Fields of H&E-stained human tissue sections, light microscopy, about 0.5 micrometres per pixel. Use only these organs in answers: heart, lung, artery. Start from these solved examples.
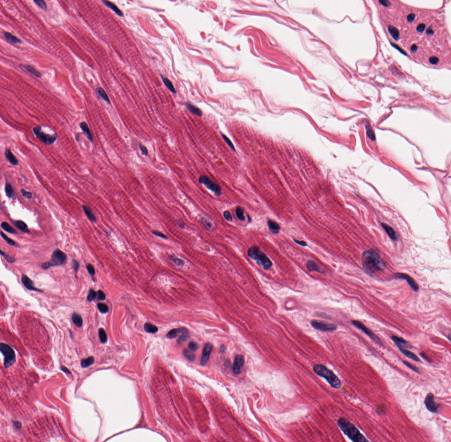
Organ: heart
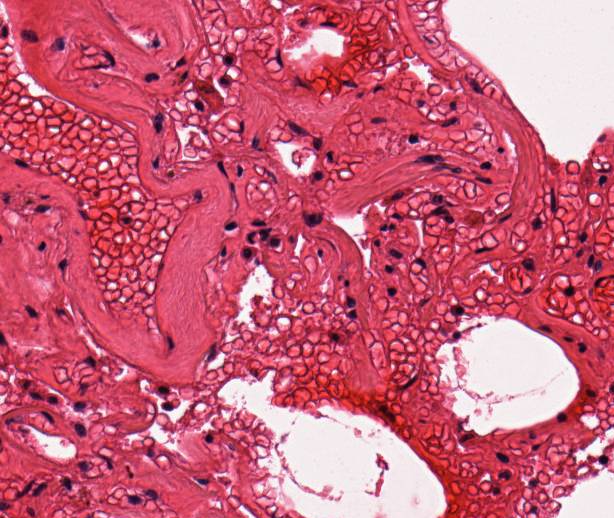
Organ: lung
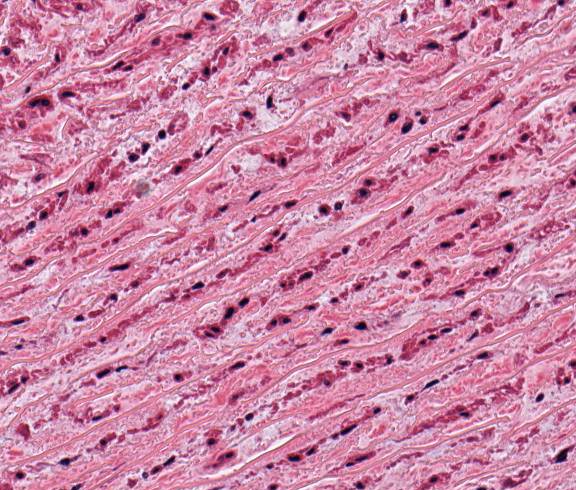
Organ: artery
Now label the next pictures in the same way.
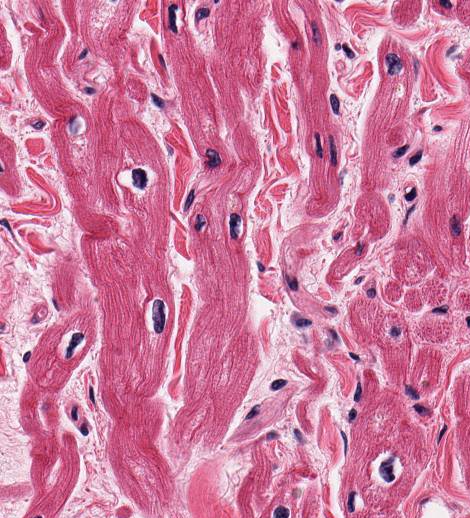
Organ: heart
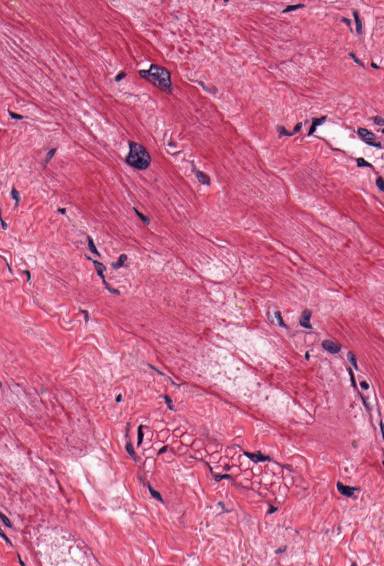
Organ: heart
